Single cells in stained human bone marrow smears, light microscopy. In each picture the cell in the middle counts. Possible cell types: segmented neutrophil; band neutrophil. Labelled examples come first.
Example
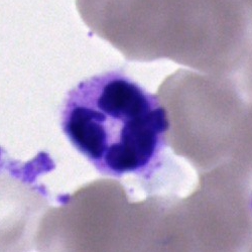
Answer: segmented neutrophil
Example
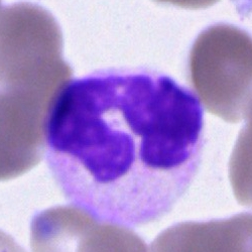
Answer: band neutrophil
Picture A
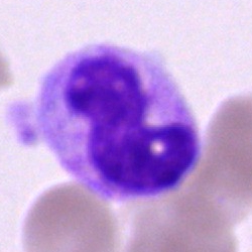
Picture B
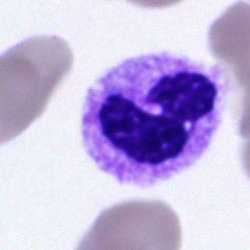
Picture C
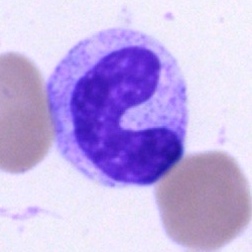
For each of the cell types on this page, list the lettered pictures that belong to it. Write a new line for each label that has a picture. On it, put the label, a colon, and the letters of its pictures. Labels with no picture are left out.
segmented neutrophil: B
band neutrophil: A, C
